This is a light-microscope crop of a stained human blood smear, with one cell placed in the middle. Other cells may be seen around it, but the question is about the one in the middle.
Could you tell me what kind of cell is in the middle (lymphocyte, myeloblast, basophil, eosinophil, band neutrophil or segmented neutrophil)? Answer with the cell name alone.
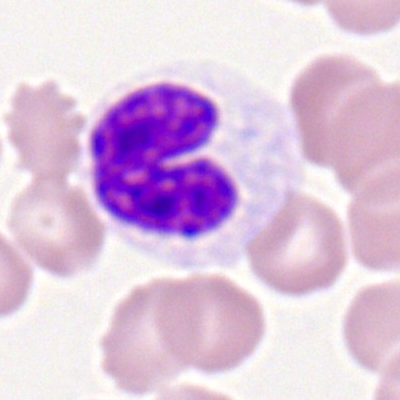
band neutrophil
